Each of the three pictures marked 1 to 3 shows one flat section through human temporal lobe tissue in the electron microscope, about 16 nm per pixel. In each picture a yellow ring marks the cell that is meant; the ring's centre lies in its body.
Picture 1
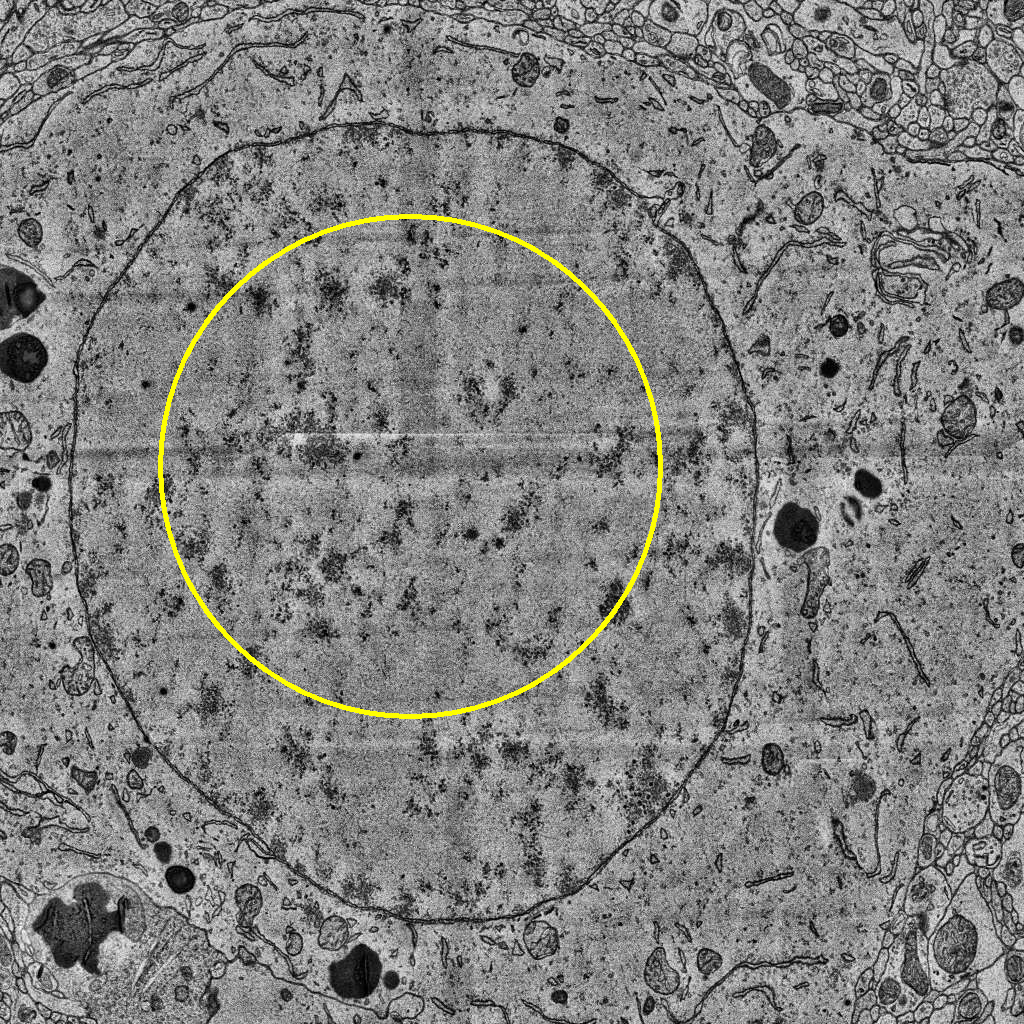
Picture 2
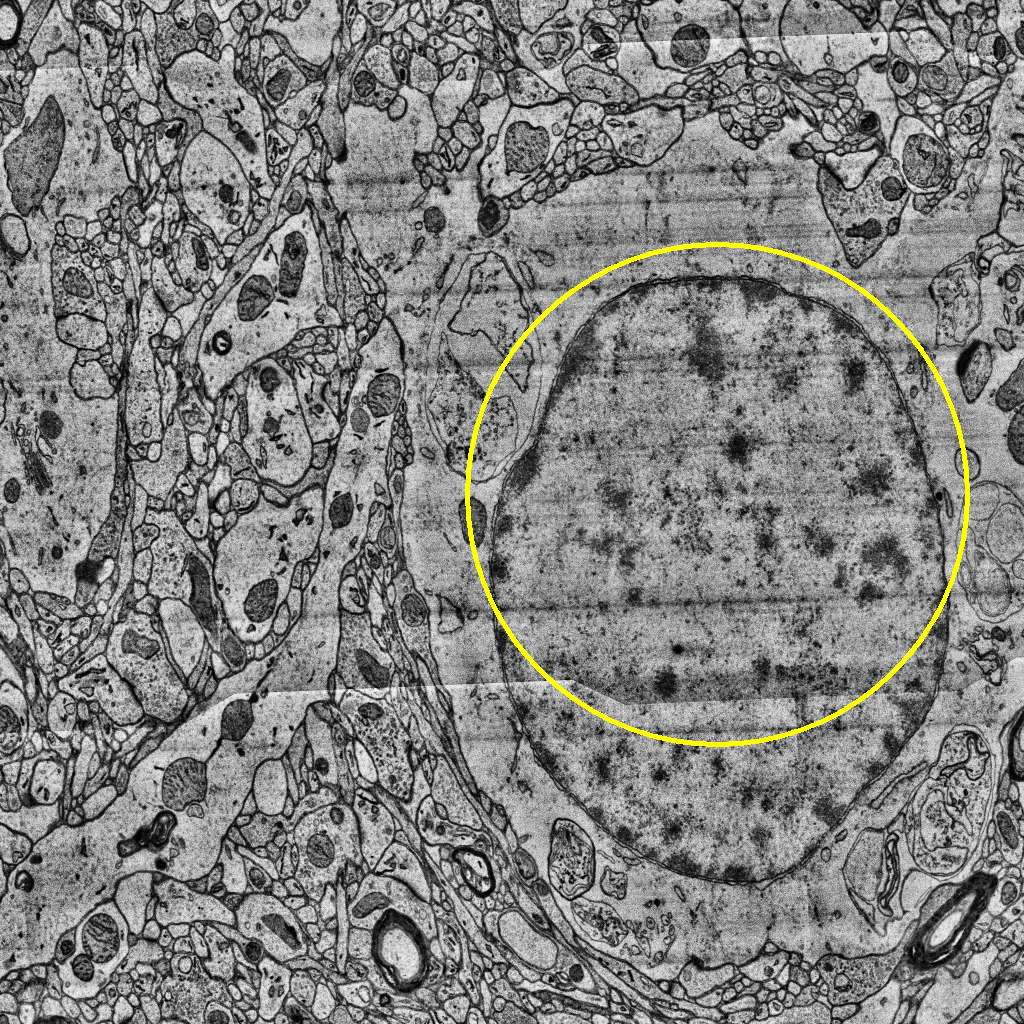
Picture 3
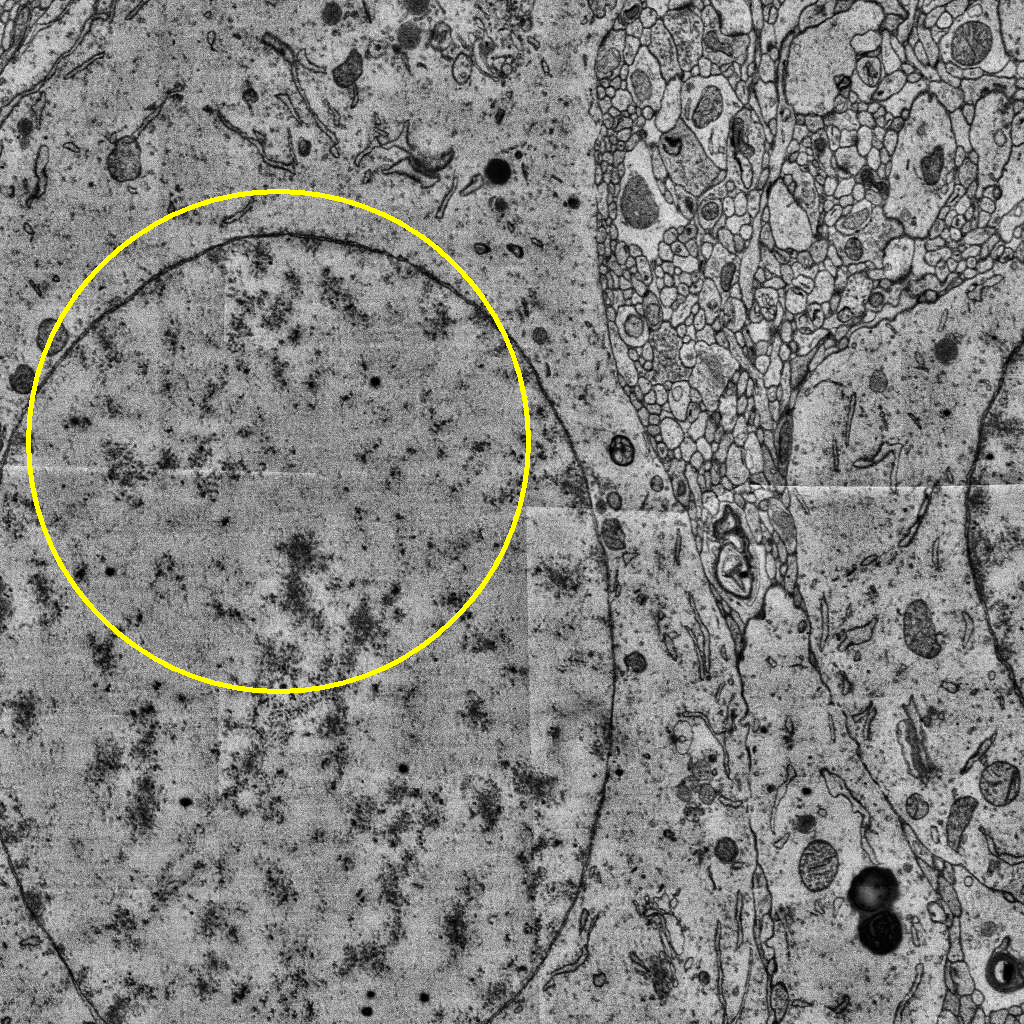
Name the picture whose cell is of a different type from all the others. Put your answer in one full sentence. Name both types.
Unlike the rest, which show pyramidal neurons, picture 2 shows an astrocyte.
